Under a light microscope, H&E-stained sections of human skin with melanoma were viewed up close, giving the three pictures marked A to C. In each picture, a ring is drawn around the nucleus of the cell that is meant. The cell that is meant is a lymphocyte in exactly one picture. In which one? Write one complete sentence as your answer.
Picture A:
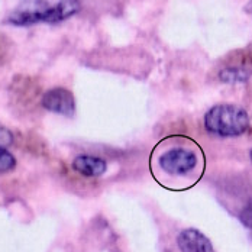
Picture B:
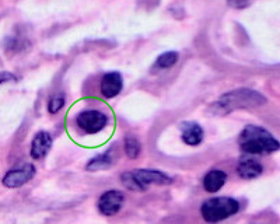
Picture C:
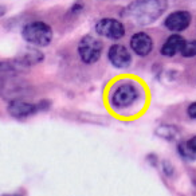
The cell in picture A is the lymphocyte.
